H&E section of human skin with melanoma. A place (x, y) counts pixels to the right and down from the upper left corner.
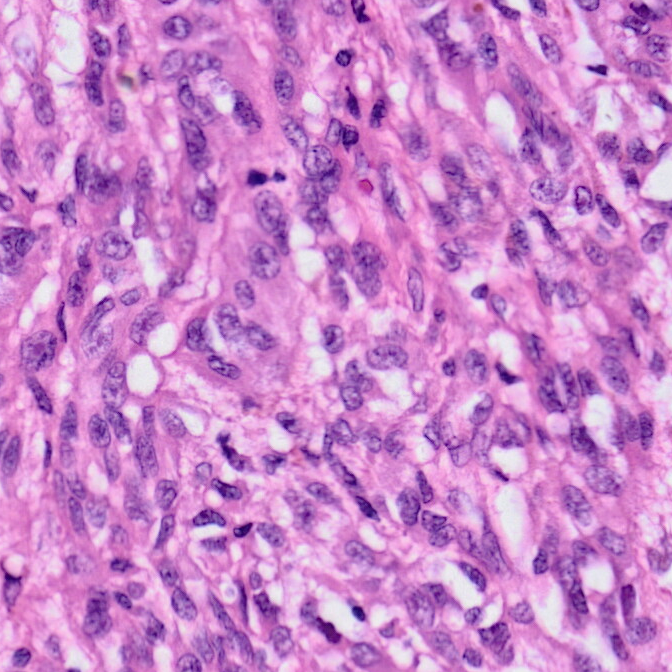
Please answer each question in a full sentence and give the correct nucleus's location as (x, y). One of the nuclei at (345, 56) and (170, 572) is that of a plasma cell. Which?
Of the two, the nucleus at (345, 56) is the one contained in a plasma cell.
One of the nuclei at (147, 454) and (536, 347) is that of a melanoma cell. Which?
The nucleus that sits at (147, 454) is the nucleus of a melanoma cell.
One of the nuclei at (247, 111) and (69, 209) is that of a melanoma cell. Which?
Rather than the other nucleus, the one at (247, 111) belongs to a melanoma cell.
